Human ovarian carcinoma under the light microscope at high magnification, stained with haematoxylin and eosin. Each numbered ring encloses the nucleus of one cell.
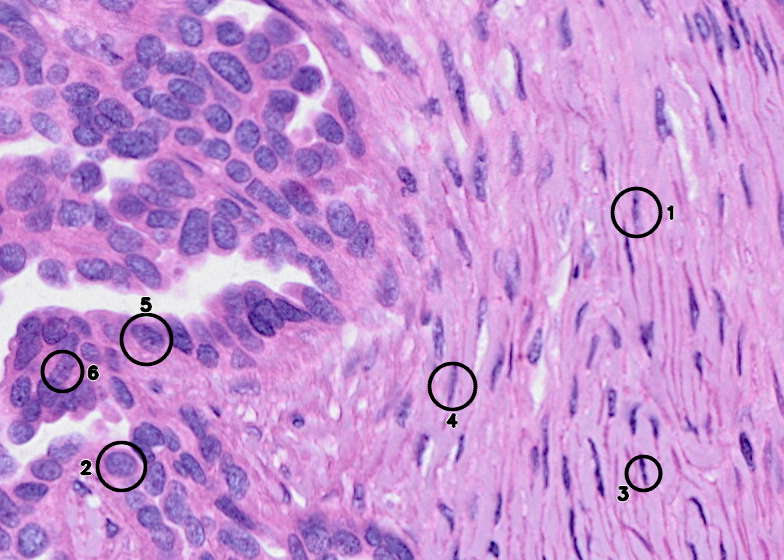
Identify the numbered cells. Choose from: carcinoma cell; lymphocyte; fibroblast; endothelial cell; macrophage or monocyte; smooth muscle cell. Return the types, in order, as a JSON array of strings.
["fibroblast", "carcinoma cell", "fibroblast", "fibroblast", "carcinoma cell", "carcinoma cell"]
